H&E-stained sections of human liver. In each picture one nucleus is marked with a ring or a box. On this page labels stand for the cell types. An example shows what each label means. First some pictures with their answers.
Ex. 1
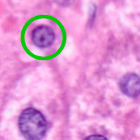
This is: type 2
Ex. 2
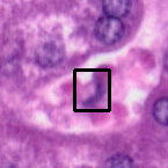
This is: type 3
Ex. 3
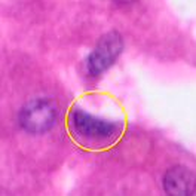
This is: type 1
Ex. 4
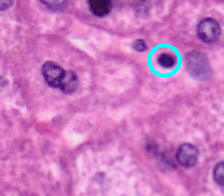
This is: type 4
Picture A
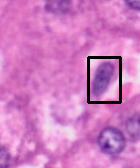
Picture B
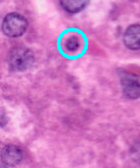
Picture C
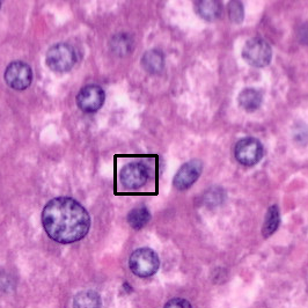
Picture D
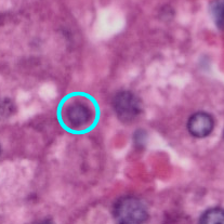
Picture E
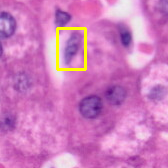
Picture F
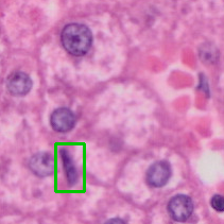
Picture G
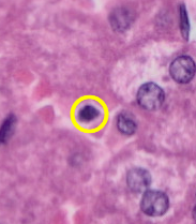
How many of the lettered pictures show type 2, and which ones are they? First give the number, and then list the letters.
Count: 2 (C, D)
